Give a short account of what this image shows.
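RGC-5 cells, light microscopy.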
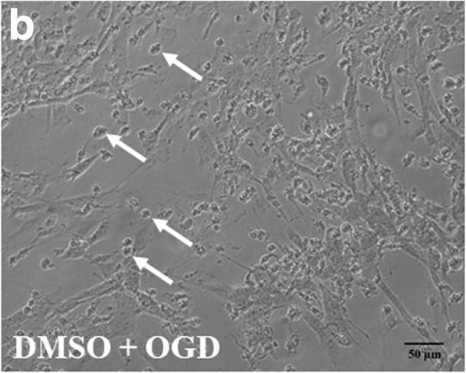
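A sparse culture of cells in which wide empty areas of the dish lie between clumps and strands of cells. Many cells are small, rounded and bright-edged, while others are elongated with thin processes that join into loose networks.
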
